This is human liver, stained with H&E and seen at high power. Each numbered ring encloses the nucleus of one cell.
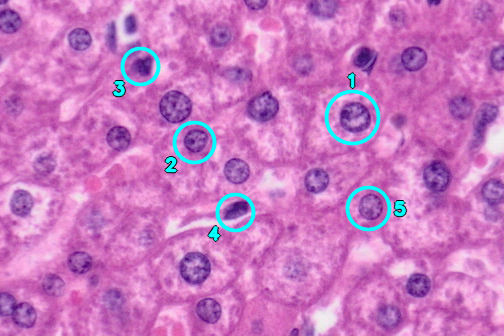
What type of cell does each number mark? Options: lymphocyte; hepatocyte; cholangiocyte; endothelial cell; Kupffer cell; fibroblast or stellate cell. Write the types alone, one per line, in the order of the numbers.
hepatocyte
hepatocyte
fibroblast or stellate cell
Kupffer cell
hepatocyte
